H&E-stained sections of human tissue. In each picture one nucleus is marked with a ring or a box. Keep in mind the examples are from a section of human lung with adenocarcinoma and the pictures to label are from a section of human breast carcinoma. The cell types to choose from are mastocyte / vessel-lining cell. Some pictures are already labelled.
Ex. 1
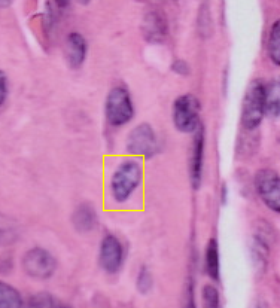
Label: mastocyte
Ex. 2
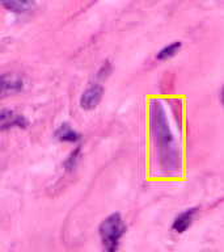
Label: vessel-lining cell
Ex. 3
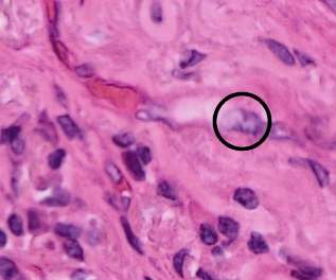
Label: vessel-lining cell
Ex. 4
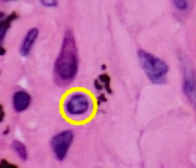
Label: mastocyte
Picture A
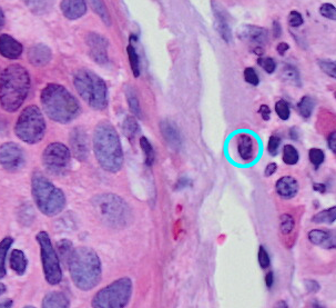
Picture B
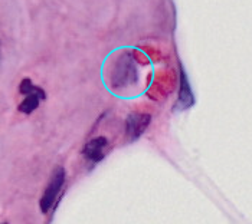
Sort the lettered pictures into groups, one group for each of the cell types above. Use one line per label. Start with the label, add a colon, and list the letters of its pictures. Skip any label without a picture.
mastocyte: A
vessel-lining cell: B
